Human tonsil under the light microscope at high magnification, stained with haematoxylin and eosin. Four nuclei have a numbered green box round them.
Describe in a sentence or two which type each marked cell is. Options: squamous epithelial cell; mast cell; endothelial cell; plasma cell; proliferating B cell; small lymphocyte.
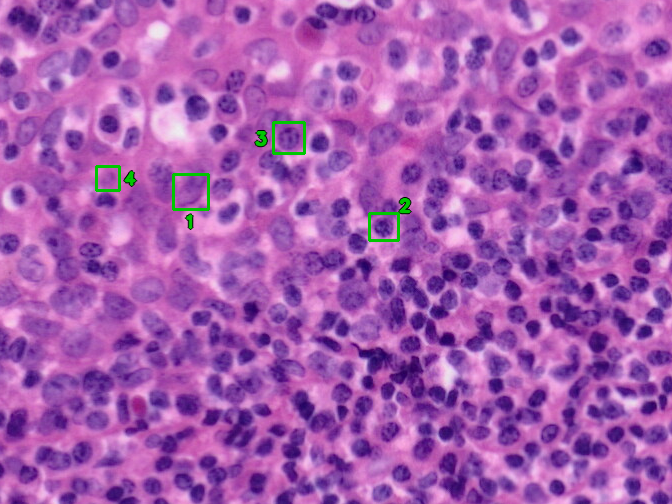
Cell 1 is a squamous epithelial cell, cell 2 is a plasma cell, cell 3 is a plasma cell and cell 4 is a squamous epithelial cell.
